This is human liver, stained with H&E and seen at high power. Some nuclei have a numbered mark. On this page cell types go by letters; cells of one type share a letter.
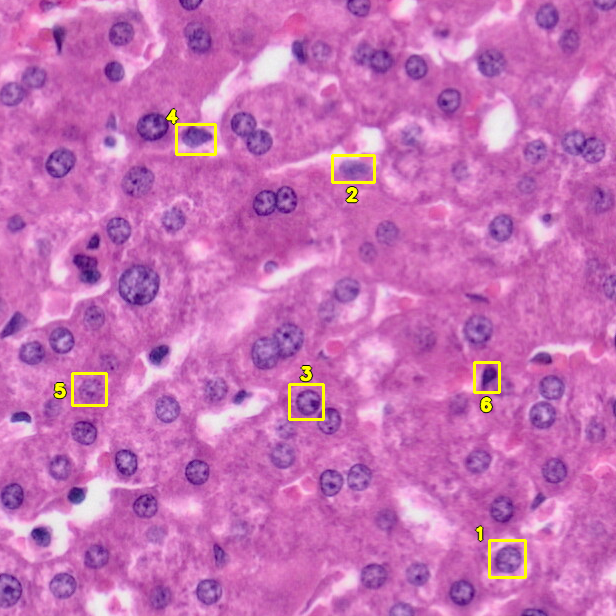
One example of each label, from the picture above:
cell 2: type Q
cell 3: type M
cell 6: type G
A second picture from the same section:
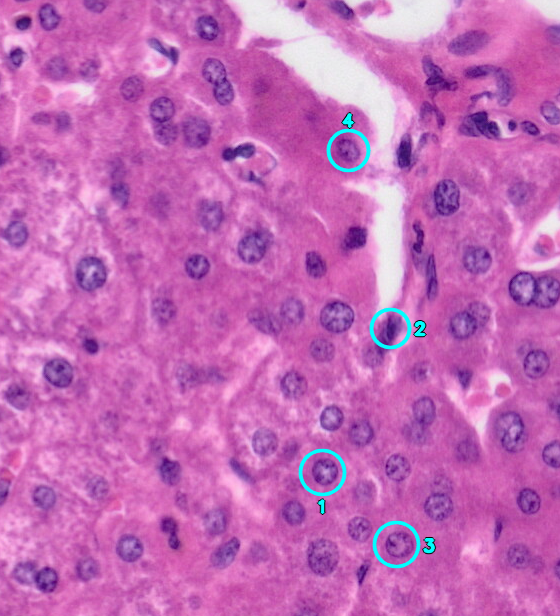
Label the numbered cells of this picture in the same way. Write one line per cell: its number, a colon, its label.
1: type M
2: type G
3: type M
4: type M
